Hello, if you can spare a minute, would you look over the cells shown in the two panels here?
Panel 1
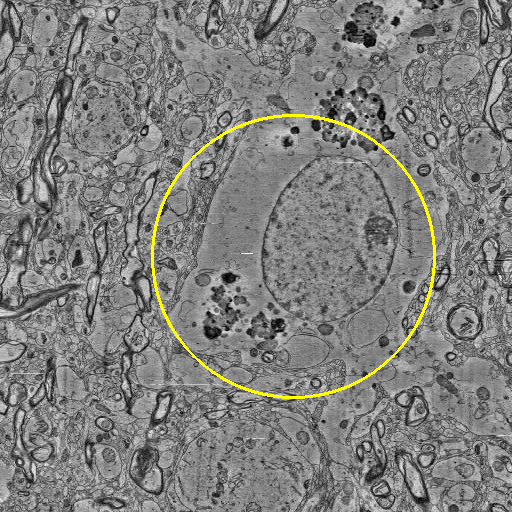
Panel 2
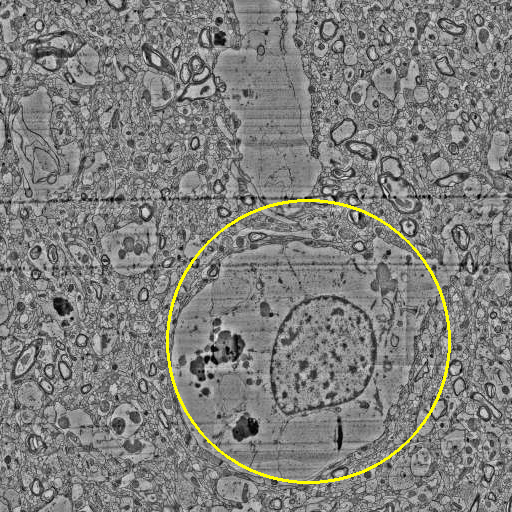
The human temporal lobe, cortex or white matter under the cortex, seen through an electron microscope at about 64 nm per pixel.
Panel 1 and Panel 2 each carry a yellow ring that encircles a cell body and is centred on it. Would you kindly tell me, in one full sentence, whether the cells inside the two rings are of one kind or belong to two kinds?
The cells at the centres of the rings in Panel 1 and Panel 2 are of one kind.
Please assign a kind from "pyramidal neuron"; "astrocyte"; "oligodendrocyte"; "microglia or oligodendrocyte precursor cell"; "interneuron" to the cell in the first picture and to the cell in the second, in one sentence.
The cell in the first picture is an astrocyte, and so is the one in the second.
